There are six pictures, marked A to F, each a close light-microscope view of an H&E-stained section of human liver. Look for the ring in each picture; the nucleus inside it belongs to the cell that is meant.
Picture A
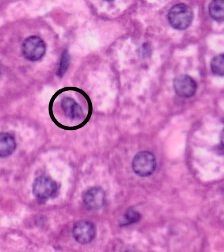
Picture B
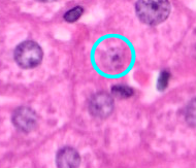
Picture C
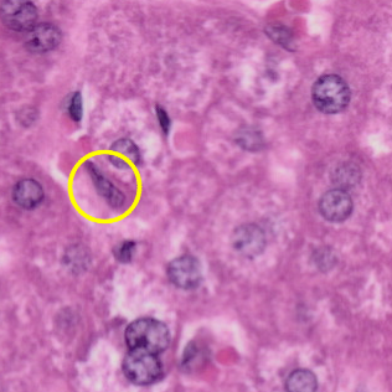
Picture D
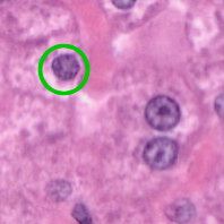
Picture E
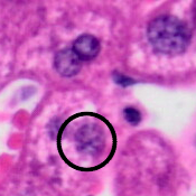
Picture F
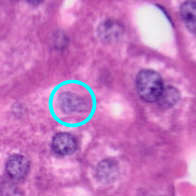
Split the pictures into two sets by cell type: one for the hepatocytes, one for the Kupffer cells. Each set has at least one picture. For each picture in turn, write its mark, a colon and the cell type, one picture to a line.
A: Kupffer cell
B: hepatocyte
C: Kupffer cell
D: hepatocyte
E: hepatocyte
F: Kupffer cell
